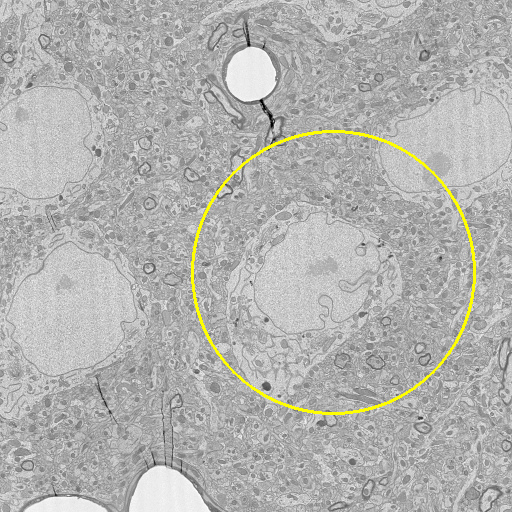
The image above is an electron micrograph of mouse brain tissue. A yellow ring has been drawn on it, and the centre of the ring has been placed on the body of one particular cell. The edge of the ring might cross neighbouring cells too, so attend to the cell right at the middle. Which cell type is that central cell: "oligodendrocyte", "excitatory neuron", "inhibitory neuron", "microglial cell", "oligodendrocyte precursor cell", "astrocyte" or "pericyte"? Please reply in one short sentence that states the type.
The central cell in the ring is an inhibitory neuron.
